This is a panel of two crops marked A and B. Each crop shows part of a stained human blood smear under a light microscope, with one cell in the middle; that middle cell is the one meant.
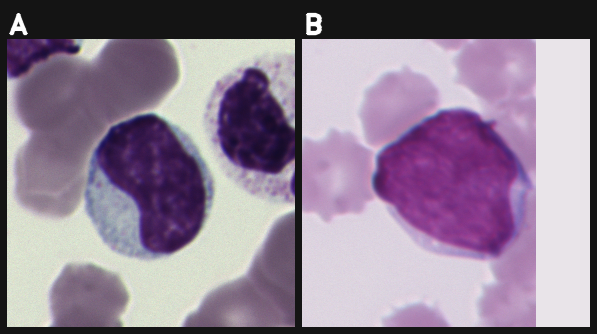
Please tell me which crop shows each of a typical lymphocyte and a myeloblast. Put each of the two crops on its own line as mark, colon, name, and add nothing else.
A: typical lymphocyte
B: myeloblast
